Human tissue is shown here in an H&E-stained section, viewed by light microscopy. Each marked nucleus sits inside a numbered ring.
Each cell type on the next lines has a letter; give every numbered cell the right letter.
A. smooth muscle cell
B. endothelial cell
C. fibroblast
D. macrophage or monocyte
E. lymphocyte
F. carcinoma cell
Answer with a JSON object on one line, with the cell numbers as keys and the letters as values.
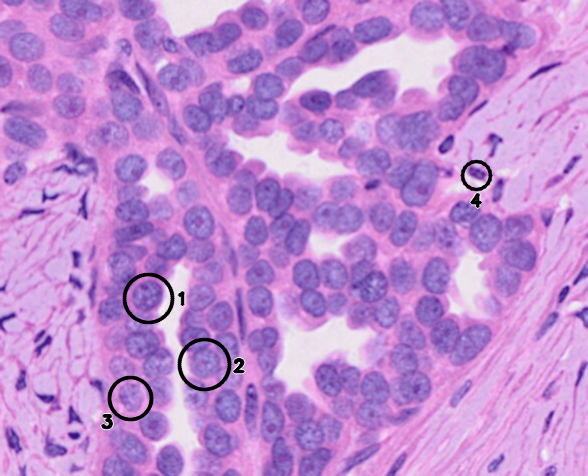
{"1": "F", "2": "F", "3": "F", "4": "C"}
